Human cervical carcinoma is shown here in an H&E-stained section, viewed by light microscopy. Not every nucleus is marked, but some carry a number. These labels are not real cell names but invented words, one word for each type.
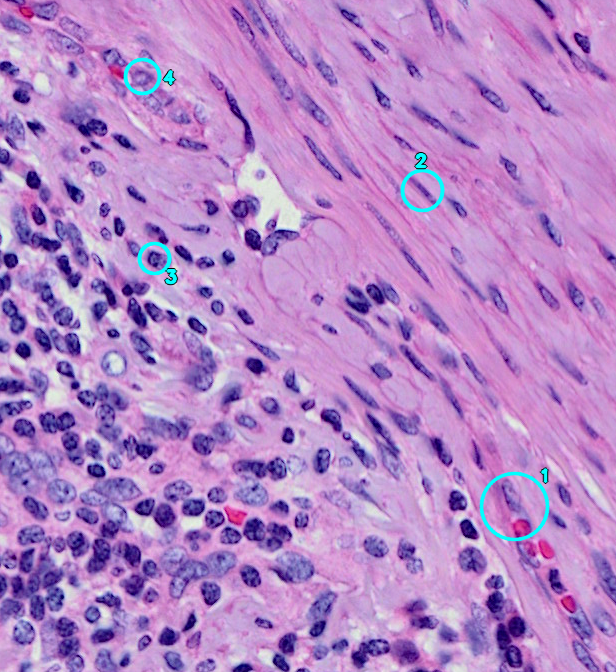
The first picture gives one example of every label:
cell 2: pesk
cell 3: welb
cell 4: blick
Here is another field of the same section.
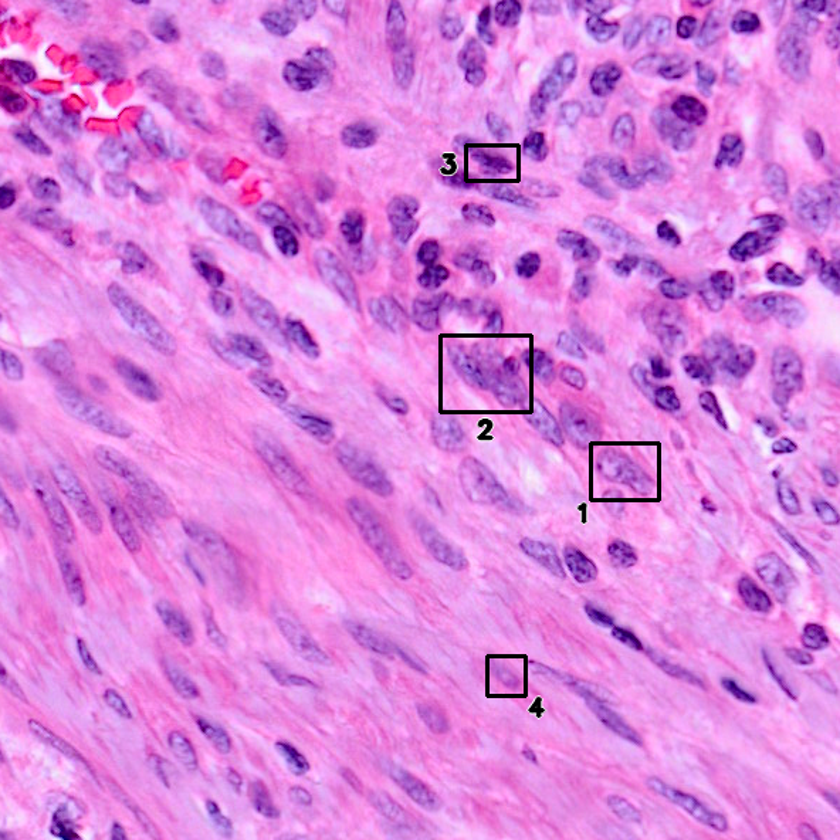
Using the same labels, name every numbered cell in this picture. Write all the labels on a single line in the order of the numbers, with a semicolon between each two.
blick; blick; welb; pesk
